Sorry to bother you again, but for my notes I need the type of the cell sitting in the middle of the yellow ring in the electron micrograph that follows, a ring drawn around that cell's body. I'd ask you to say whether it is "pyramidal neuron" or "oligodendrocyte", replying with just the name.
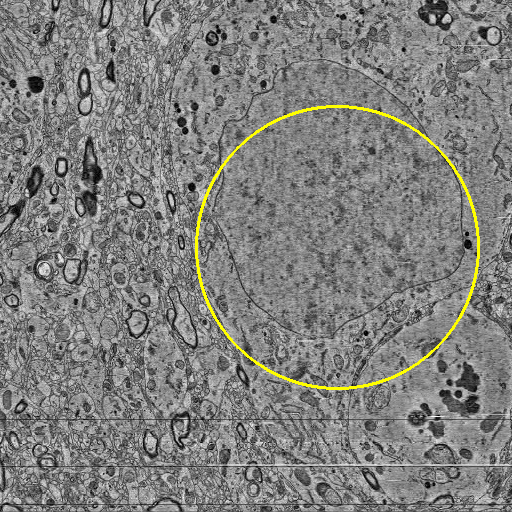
pyramidal neuron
